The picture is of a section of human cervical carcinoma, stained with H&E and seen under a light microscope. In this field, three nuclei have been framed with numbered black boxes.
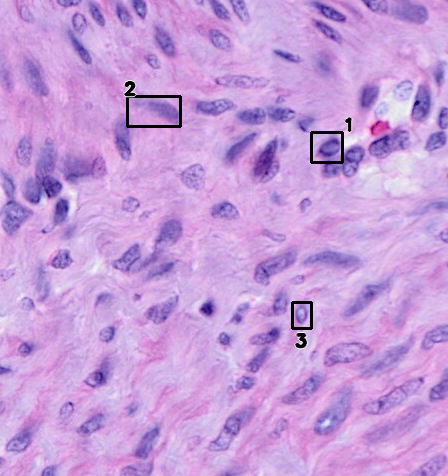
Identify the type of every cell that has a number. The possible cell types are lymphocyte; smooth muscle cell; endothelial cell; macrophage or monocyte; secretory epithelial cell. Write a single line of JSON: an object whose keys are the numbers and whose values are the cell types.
{"1": "endothelial cell", "2": "smooth muscle cell", "3": "smooth muscle cell"}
